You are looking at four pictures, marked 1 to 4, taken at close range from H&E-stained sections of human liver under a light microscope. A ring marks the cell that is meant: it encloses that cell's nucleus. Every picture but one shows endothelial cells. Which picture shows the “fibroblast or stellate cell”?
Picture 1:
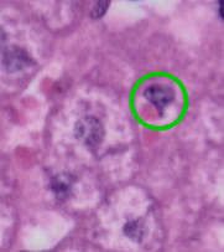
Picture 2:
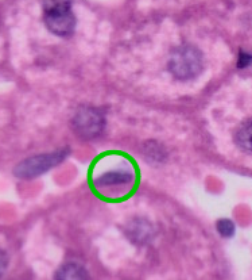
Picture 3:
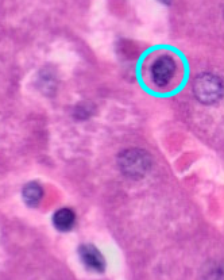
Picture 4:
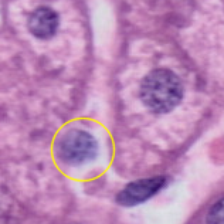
3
